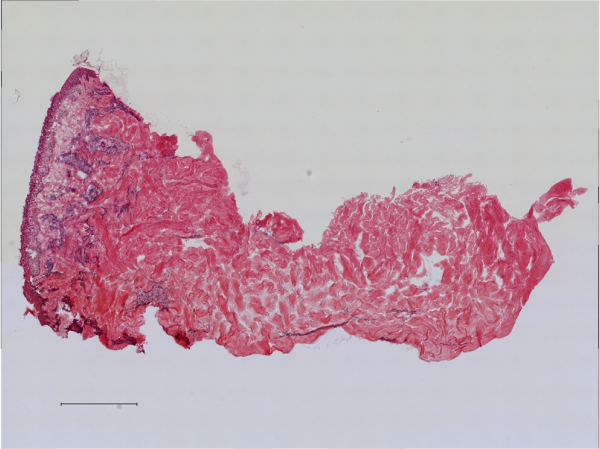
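This is a section of skin seen at low power. It is cut through its whole depth and stained pink and purple. Along the left edge lies the epidermis, a thin band of densely packed cells with purple nuclei. Just beneath it is the papillary dermis, where patchy purple clusters of nuclei stand out against the pink. From there the section runs to the right into the reticular dermis. This deeper layer is made of coarse, wavy bundles of collagen that stain pink. The bundles are loosely arranged with clear gaps between them, and they hold far fewer nuclei than the layers nearer the surface.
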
